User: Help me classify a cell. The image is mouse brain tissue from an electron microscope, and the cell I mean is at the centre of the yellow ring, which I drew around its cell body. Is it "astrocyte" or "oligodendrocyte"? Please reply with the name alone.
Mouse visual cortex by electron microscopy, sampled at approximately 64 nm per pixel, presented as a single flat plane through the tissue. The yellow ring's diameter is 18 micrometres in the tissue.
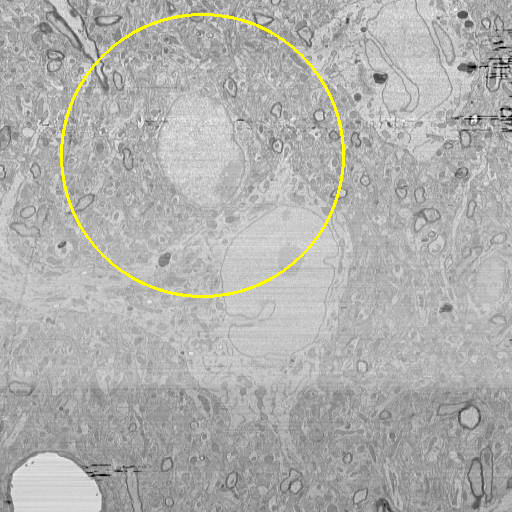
astrocyte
